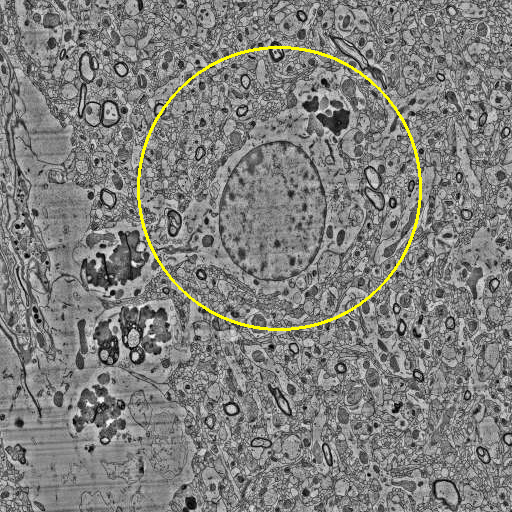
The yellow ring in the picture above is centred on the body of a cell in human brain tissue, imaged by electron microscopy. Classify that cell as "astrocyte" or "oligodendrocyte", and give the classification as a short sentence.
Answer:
The cell in the middle of the ring is an astrocyte.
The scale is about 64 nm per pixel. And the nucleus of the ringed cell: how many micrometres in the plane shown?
In this plane, approximately 9 by 7 micrometers.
